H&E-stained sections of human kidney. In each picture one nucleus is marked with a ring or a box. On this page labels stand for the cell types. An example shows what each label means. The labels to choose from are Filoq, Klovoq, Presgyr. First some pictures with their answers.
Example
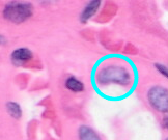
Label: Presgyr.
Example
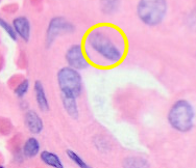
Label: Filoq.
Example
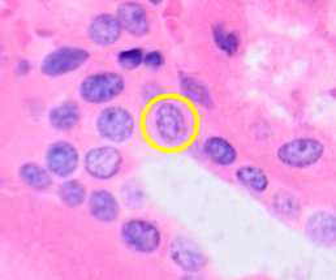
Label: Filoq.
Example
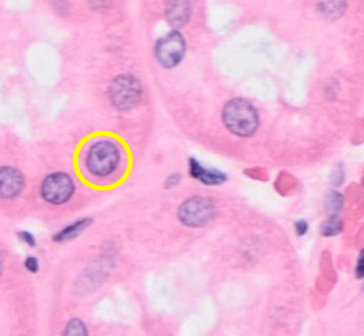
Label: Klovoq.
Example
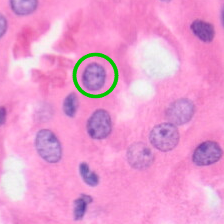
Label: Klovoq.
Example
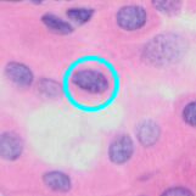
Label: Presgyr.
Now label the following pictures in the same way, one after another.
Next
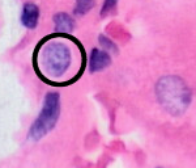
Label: Filoq.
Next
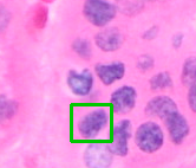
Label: Filoq.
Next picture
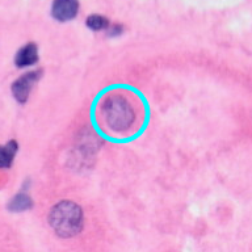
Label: Klovoq.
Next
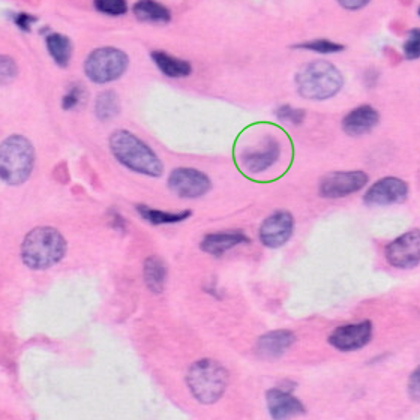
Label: Filoq.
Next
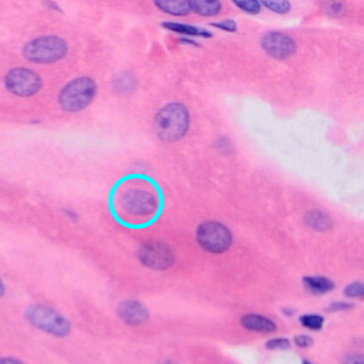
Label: Klovoq.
